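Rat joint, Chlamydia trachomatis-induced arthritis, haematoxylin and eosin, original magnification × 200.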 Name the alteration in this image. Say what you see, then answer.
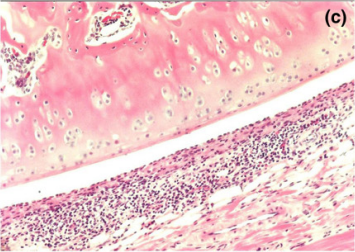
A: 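Mononuclear cell infiltration. A layer of many small round dark nuclei lies along the synovial surface across the joint space from the cartilage. Beneath it lies paler fibrous tissue with elongated nuclei.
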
